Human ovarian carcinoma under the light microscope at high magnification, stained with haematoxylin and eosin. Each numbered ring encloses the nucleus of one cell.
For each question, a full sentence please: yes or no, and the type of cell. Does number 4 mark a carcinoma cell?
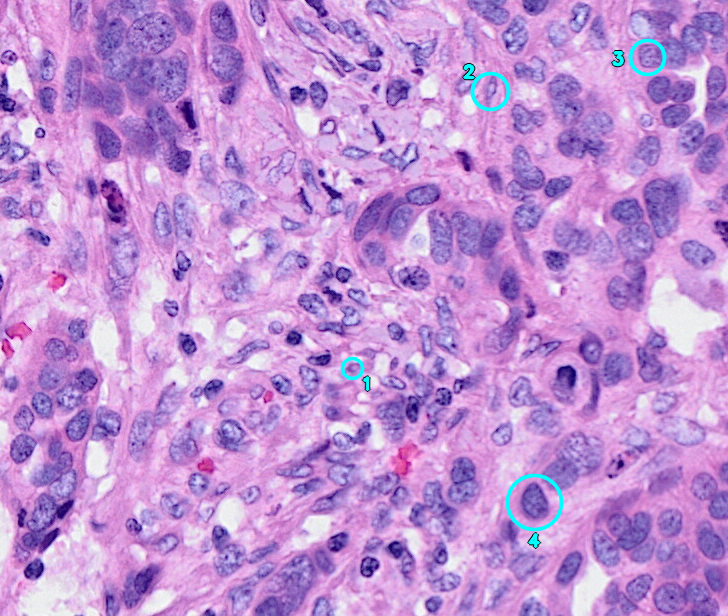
Yes, the cell with number 4 is a carcinoma cell.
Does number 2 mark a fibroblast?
Yes, the cell numbered 2 in this tissue is a fibroblast.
